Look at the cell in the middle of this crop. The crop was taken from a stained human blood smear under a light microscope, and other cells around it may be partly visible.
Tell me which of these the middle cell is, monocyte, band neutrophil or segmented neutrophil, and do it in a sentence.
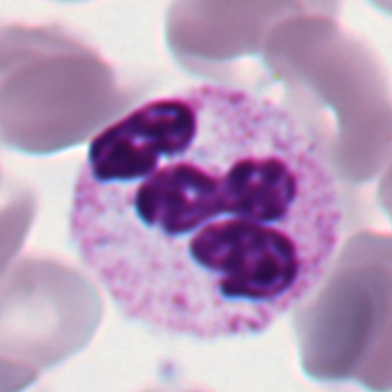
This crop's central cell is a segmented neutrophil.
